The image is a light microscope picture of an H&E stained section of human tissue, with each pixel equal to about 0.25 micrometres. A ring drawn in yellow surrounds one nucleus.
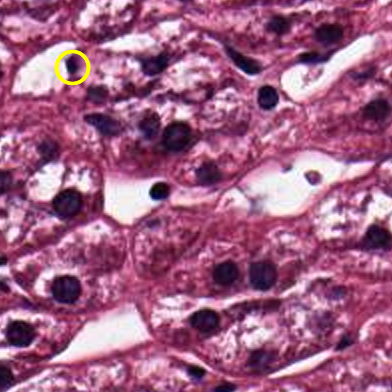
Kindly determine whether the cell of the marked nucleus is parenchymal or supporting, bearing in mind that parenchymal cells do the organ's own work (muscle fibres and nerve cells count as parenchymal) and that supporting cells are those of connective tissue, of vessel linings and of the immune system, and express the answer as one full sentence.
The marked nucleus belongs to a cell, and that cell is a supporting cell.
